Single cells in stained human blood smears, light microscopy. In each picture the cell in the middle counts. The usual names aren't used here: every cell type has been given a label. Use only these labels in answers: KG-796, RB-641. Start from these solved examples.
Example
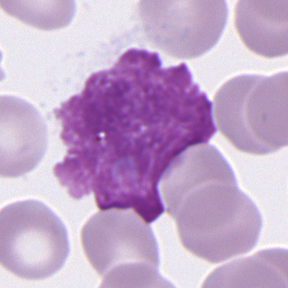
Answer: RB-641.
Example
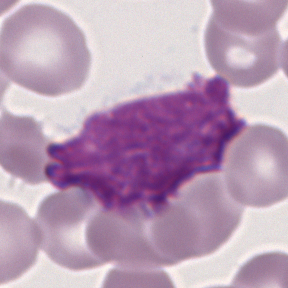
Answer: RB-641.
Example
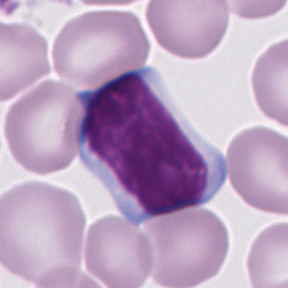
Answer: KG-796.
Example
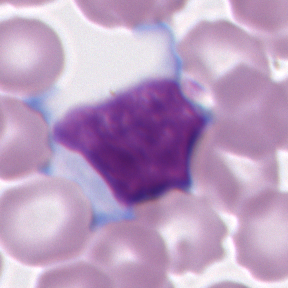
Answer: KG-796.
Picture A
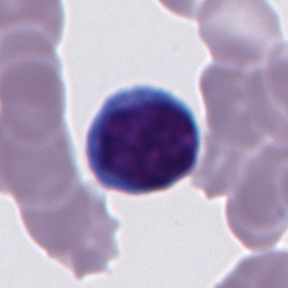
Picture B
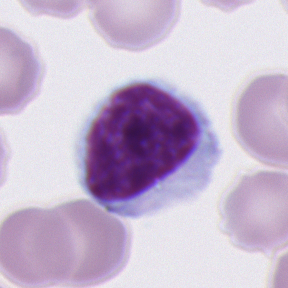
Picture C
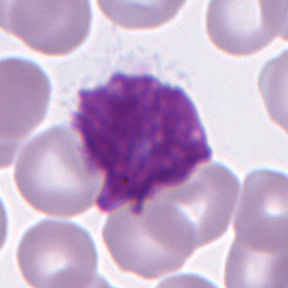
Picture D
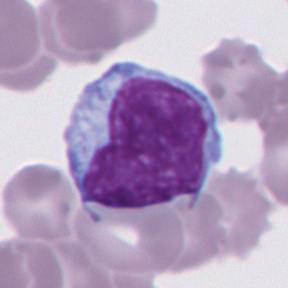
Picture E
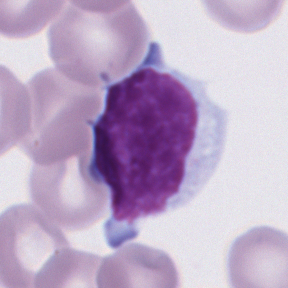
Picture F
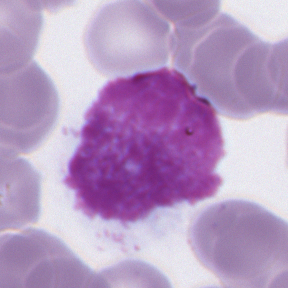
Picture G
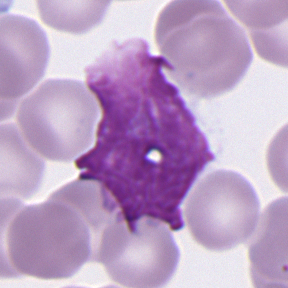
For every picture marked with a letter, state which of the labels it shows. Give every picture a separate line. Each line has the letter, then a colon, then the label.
A: KG-796.
B: KG-796.
C: RB-641.
D: KG-796.
E: KG-796.
F: RB-641.
G: RB-641.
